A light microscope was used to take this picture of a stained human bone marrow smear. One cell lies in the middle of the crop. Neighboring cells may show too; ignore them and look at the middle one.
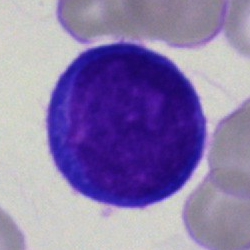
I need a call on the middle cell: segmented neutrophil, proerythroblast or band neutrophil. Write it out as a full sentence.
This crop has a proerythroblast at its centre.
